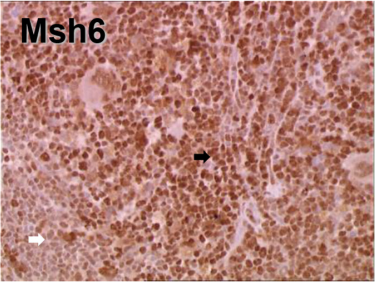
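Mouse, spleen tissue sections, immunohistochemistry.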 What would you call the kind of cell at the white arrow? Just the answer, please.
Normal lymphocytes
